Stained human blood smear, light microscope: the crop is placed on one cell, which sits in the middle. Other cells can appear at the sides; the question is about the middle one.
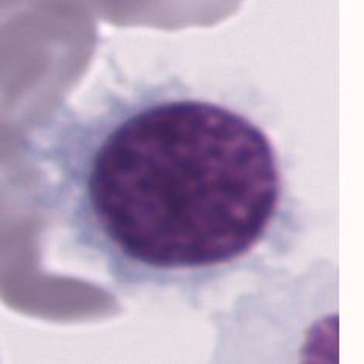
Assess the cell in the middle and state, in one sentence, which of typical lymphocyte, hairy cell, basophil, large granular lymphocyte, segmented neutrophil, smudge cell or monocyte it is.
The cell centred in this crop is categorized as a hairy cell.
